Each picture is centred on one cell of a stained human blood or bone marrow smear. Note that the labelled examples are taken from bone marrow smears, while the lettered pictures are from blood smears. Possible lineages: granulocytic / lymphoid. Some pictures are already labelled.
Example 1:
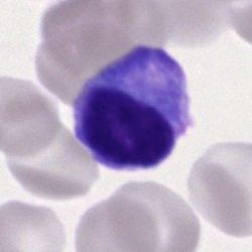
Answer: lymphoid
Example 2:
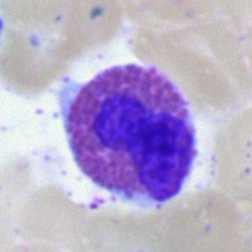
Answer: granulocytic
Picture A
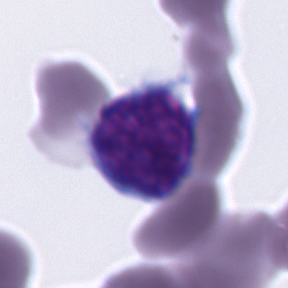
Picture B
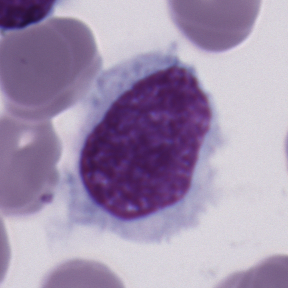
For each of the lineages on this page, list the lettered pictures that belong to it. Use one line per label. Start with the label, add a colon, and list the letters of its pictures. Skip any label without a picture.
lymphoid: A, B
